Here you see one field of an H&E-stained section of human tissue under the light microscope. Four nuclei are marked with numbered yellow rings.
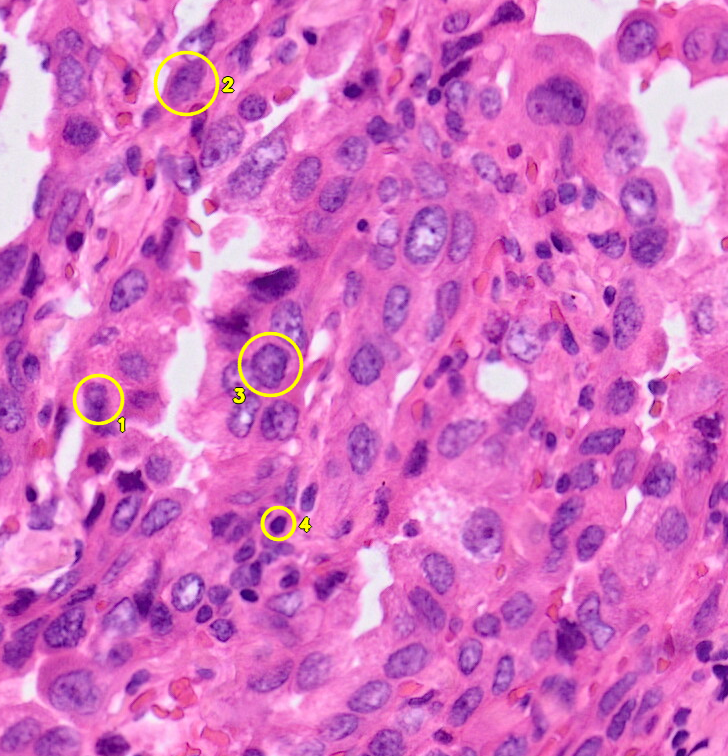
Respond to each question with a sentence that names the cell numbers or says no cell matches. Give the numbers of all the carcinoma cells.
The cells referred to by numbers 1, 2 and 3 are carcinoma cells.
